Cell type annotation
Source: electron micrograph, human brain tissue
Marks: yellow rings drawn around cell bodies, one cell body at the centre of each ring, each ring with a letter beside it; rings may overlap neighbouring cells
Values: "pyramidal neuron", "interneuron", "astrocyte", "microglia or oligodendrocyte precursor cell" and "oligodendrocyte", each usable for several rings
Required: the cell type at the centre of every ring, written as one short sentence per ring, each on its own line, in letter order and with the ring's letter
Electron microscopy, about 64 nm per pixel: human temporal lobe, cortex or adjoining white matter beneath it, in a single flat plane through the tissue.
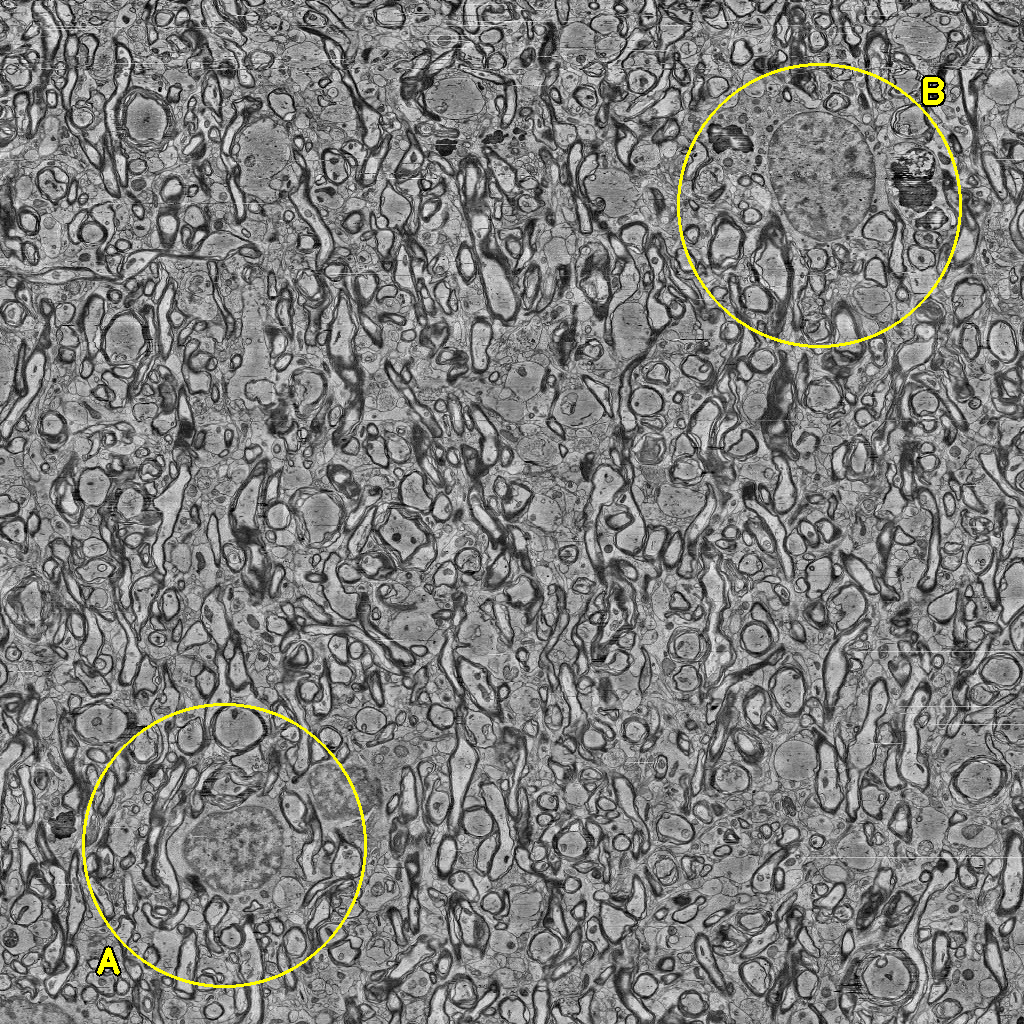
Ring A is annotated as an oligodendrocyte.
Ring B is annotated as an oligodendrocyte.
